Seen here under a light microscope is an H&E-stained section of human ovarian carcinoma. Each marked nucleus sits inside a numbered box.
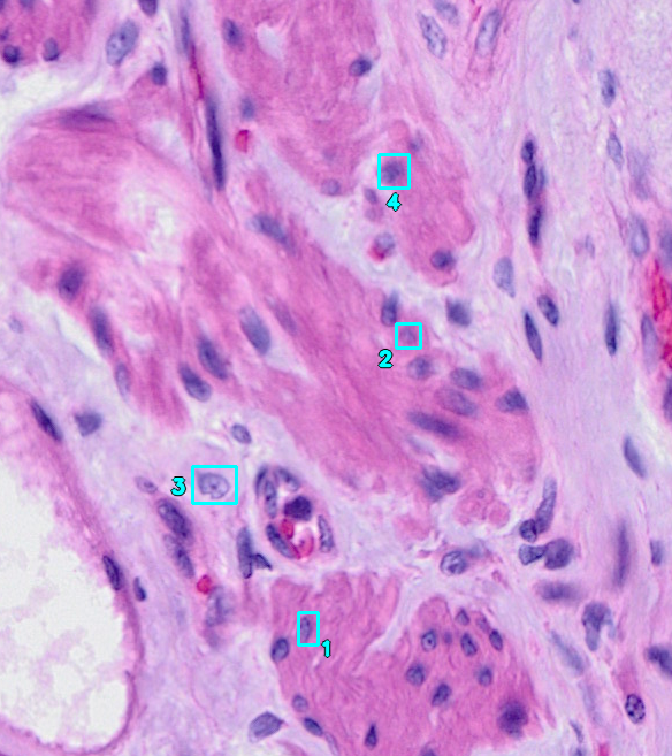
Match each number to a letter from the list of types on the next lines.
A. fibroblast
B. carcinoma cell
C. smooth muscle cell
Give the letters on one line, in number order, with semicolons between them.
C; C; A; C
